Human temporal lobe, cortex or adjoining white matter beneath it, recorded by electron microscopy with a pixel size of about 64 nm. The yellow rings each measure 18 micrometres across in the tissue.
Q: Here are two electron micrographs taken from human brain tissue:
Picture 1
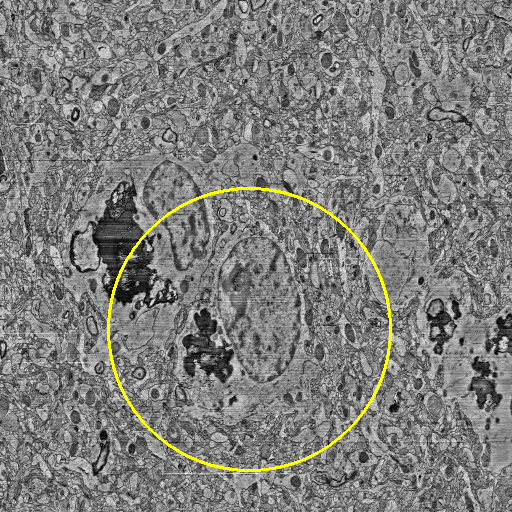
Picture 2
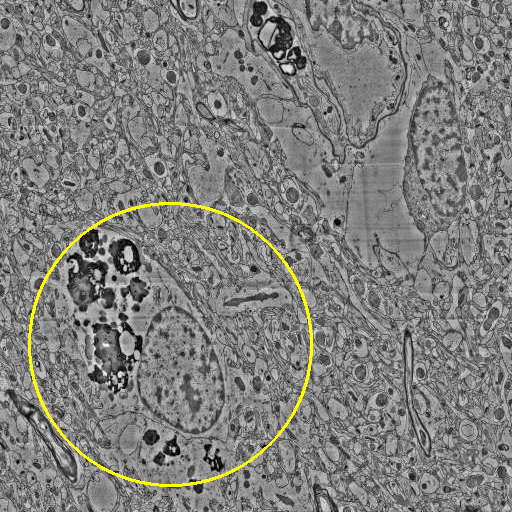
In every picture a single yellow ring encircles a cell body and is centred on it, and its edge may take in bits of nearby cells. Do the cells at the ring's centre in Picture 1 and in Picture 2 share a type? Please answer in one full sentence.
Yes, the cells at the ring's centre in Picture 1 and Picture 2 share a type.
